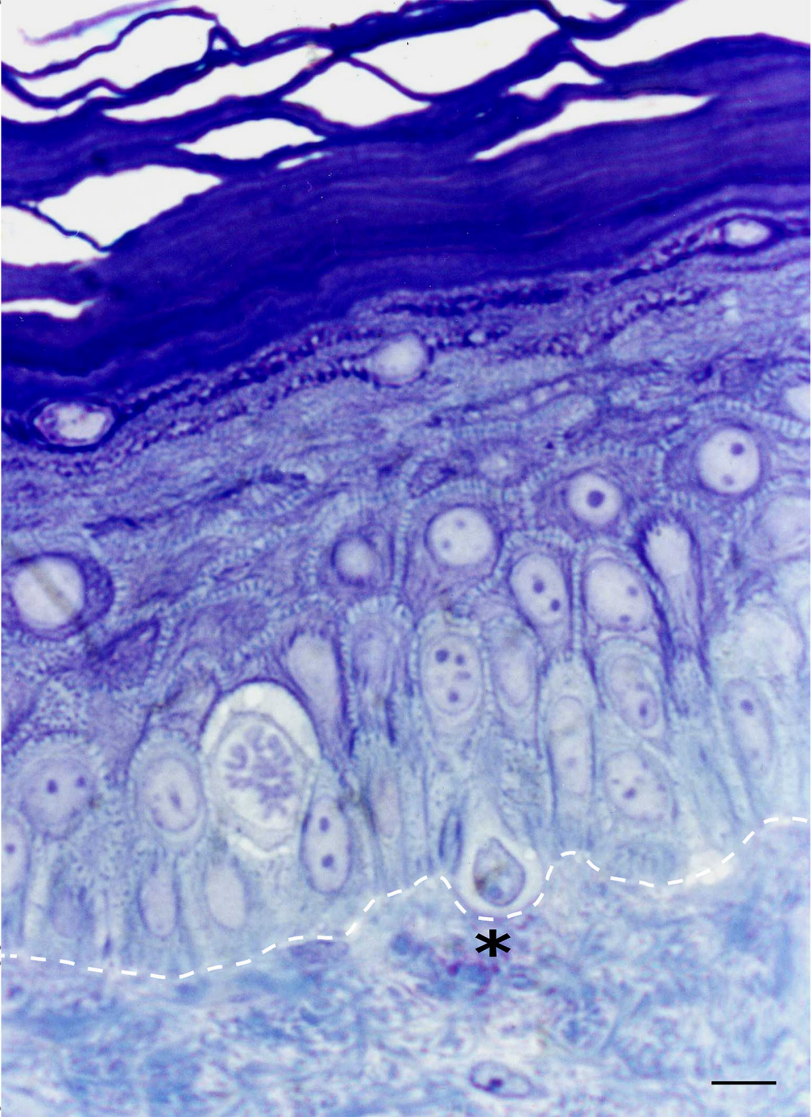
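This is a section of skin showing the stratified epidermis, made mostly of keratinocytes, above a thin strip of dermis. The lowest epidermal cells are tall and columnar, with oval pale nuclei holding one to several dark nucleoli, and one large cell shows condensed chromosomes of a dividing cell. Above them, polygonal cells with round nuclei are linked by fine spiny bridges that give their borders a striated look, and higher still the cells flatten and become more darkly stained. The surface is covered by thick, dense, dark-blue layered sheets without nuclei, which split apart at the very top. At the base, a small rounded pale cell with a clear halo hangs down into a dip of the boundary with the dermis, which lies below as pale loosely fibrous tissue.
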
